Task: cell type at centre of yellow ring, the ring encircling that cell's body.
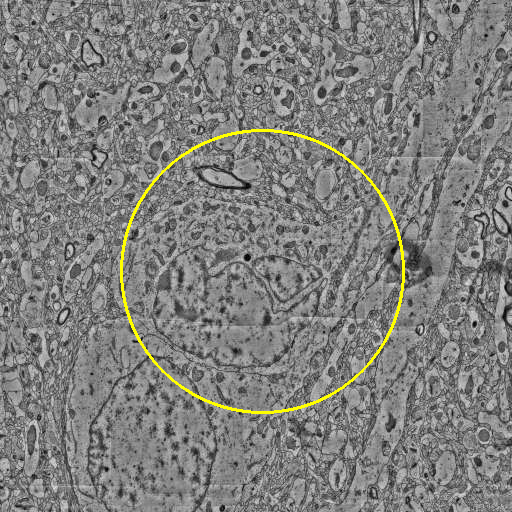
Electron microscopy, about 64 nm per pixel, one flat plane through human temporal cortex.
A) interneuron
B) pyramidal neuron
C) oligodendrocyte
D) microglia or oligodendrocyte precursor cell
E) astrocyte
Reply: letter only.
A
